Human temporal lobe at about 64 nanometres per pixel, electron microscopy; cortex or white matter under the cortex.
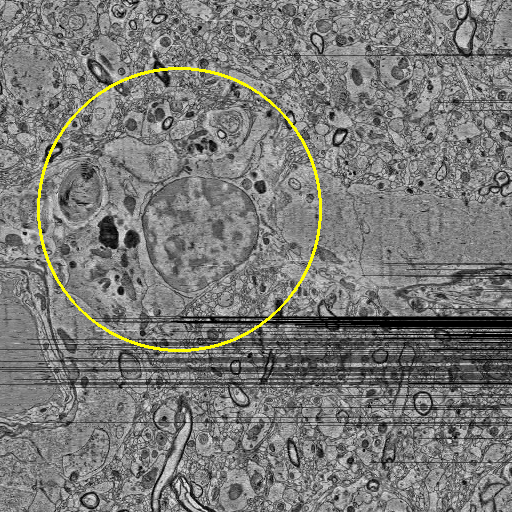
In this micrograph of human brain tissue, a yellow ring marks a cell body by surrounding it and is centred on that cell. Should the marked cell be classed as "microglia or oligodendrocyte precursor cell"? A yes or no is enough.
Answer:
yes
